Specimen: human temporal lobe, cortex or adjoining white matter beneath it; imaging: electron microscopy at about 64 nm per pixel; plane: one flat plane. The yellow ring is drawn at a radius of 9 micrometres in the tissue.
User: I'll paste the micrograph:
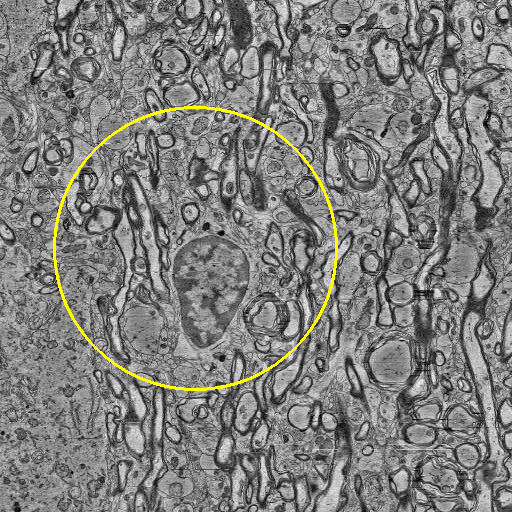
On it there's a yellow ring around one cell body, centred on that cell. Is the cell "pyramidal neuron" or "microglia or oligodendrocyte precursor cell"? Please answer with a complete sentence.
The cell ringed in yellow is a microglial cell or oligodendrocyte precursor cell.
